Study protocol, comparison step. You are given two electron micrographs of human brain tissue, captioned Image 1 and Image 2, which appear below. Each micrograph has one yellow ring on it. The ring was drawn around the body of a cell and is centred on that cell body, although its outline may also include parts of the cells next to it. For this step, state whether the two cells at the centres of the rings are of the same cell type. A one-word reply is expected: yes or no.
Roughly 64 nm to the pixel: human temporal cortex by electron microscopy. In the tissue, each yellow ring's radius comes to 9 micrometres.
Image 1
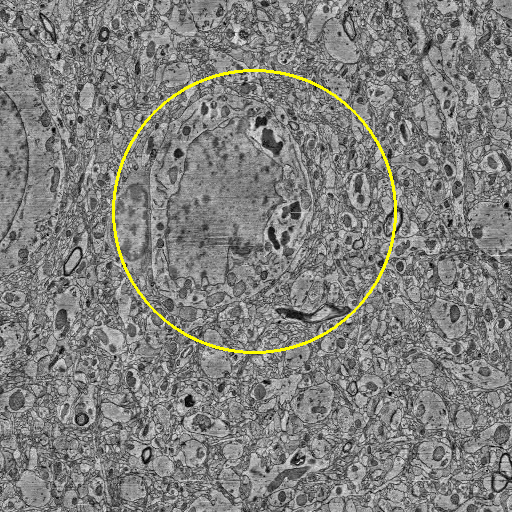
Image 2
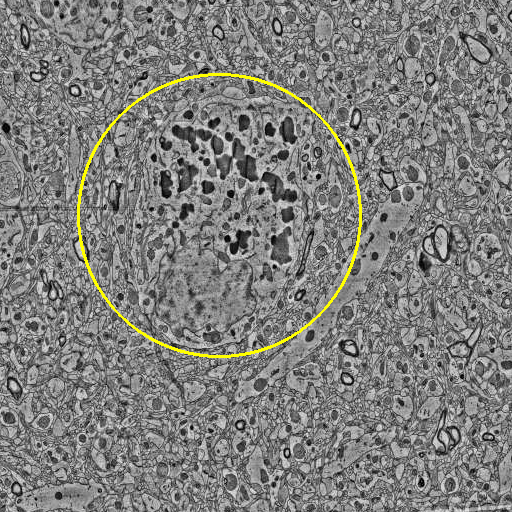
yes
